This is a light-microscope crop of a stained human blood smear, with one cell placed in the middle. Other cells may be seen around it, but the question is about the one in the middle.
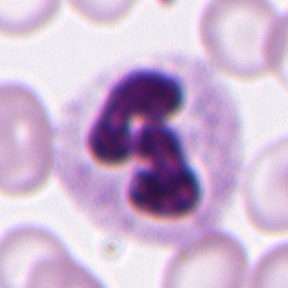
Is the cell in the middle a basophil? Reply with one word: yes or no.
no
